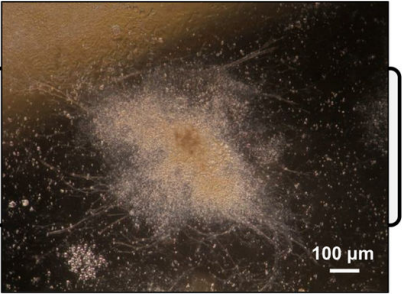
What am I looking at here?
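A large, loosely spread colony of differentiating cells with a denser, darker centre and a broad, irregular halo of scattered small cells. Numerous fine neuronal processes radiate from the colony and run across the surrounding background.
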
